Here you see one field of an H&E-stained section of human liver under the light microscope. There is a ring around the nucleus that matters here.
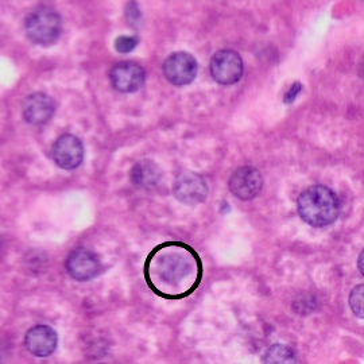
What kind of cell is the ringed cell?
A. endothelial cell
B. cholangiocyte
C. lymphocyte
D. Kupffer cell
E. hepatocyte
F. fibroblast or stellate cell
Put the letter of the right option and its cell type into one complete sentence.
Option E matches the ringed cell, which is a hepatocyte.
